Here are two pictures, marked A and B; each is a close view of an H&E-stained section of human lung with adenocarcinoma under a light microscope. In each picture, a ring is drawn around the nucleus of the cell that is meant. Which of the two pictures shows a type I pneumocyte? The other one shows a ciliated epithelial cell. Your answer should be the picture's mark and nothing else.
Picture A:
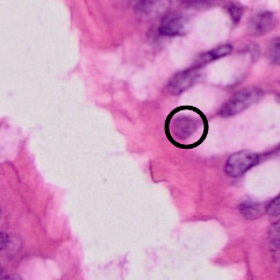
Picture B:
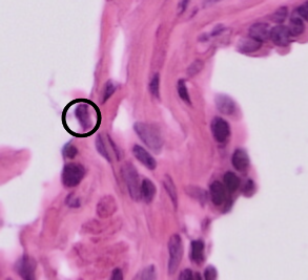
B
